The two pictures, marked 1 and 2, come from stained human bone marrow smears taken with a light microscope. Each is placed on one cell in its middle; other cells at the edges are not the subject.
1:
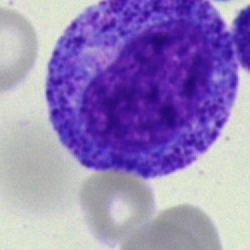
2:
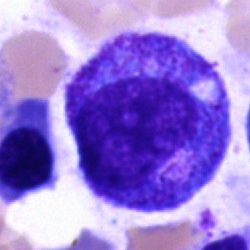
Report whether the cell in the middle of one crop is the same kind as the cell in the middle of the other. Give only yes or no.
yes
